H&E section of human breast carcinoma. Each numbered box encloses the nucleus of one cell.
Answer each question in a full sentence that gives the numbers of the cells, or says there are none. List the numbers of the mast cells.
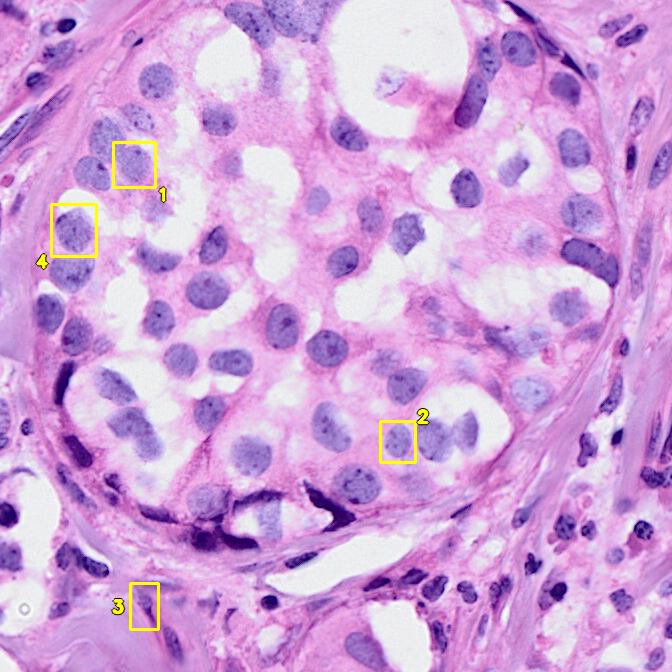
Between them, the numbered cells include no mast cells.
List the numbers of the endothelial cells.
Among the marked cells, cell number 3 alone is an endothelial cell.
